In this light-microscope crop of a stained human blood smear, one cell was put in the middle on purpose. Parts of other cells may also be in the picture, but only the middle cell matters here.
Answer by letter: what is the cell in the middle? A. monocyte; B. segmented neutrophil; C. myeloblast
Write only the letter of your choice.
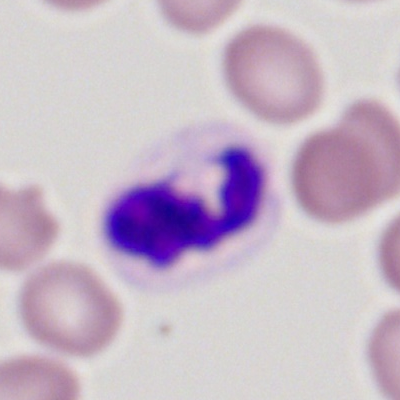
B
